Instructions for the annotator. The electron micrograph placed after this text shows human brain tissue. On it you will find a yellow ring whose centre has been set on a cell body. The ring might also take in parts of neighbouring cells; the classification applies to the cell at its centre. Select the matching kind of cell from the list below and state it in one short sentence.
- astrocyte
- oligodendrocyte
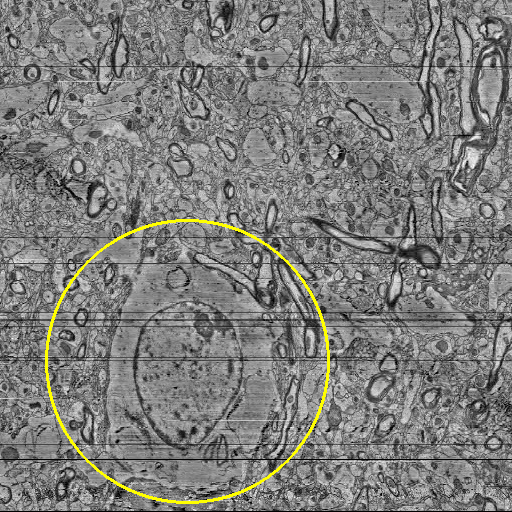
The ring is drawn on the cell body of an astrocyte.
